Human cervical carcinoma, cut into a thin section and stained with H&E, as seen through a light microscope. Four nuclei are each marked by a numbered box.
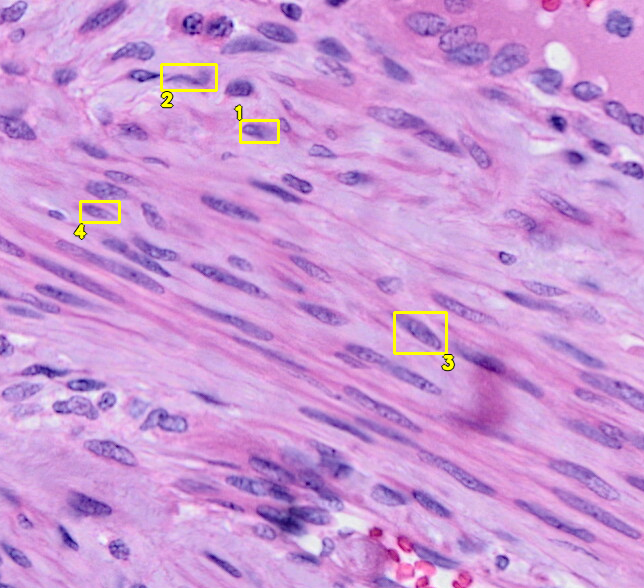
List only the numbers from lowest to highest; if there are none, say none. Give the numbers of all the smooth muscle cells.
1, 3, 4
